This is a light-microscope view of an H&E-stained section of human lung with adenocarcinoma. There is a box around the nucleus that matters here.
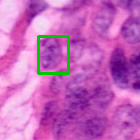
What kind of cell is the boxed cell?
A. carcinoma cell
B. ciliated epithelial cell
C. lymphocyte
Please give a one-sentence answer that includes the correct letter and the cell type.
Identified correctly by option B, the boxed cell is a ciliated epithelial cell.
